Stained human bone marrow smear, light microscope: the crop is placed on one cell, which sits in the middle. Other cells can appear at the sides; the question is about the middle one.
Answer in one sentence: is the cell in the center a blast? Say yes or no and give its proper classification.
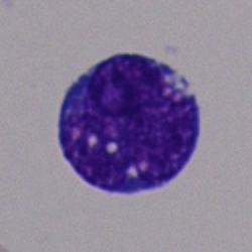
Yes, the cell in the centre is a blast.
